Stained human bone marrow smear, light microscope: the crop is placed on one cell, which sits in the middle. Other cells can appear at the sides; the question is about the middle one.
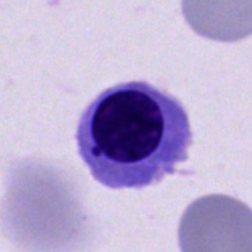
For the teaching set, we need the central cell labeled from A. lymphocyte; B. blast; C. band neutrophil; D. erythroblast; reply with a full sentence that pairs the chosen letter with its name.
Option D is correct, naming the cell in the middle as an erythroblast.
